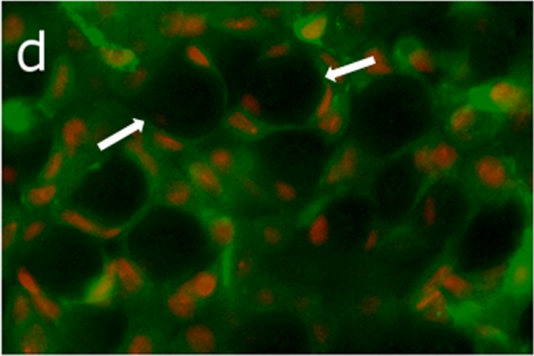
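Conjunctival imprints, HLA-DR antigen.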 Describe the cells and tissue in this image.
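The goblet cells appear as large round dark areas that take up no green stain. Around them lie smaller cells with green cytoplasm and small red nuclei, many of them elongated. Some red nuclei sit flattened at the rim of the dark round cells. The green cells fill the spaces between the dark rounds, giving a net-like pattern.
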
